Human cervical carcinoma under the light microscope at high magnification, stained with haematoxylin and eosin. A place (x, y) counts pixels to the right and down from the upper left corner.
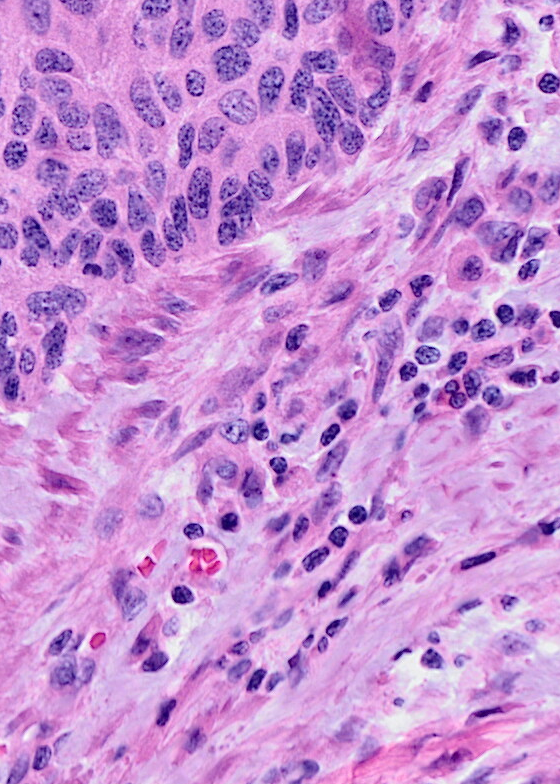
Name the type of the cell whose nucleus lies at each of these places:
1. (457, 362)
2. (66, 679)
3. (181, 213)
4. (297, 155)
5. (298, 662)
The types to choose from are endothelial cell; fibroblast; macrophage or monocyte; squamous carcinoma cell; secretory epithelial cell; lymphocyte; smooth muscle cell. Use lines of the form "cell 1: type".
cell 1: lymphocyte
cell 2: endothelial cell
cell 3: squamous carcinoma cell
cell 4: squamous carcinoma cell
cell 5: fibroblast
